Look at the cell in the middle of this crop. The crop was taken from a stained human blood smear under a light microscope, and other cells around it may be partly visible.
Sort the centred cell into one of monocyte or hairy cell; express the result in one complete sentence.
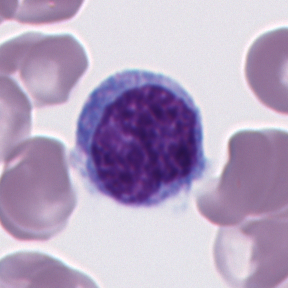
In short, the cell at the center is a monocyte.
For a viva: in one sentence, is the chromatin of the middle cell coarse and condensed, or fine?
Heads up, the chromatin in this one is coarsely clumped.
